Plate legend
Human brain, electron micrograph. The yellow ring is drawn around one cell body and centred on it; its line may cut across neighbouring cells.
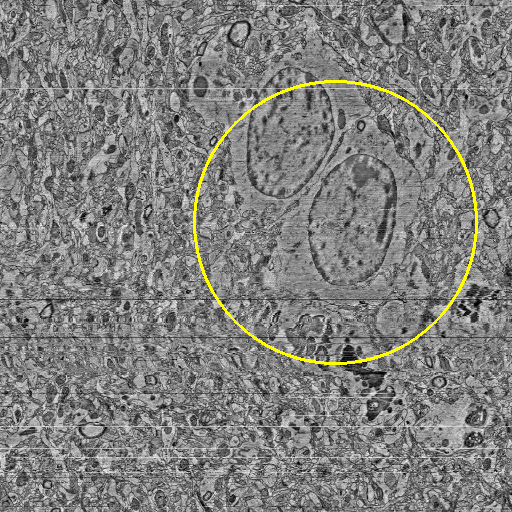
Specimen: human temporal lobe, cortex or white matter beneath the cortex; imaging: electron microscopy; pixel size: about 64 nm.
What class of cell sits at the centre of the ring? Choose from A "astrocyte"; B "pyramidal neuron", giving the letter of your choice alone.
A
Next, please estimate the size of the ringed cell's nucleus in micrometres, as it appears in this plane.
About 9 by 5 micrometres in this plane; clearly longer than it is wide.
